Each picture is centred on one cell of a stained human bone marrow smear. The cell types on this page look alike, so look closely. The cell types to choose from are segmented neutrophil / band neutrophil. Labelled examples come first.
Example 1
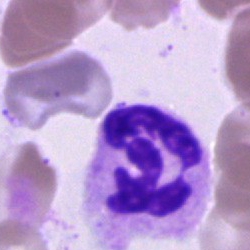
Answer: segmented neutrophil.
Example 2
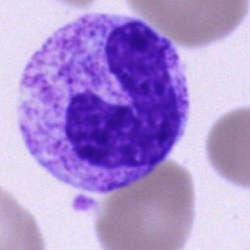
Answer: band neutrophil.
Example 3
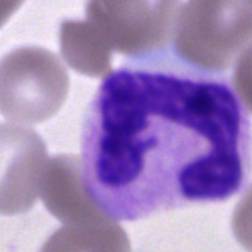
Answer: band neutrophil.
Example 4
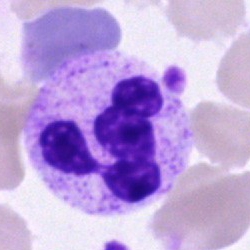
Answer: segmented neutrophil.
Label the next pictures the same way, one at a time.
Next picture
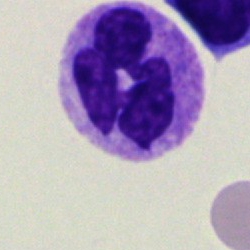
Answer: segmented neutrophil.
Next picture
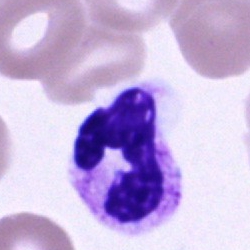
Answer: segmented neutrophil.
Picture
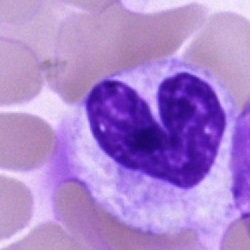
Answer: band neutrophil.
